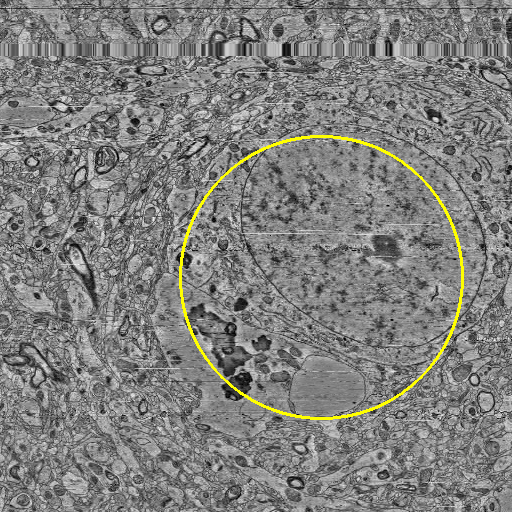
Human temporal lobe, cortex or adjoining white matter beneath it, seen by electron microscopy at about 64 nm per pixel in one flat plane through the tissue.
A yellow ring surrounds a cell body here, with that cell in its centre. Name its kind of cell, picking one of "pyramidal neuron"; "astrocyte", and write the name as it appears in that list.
pyramidal neuron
